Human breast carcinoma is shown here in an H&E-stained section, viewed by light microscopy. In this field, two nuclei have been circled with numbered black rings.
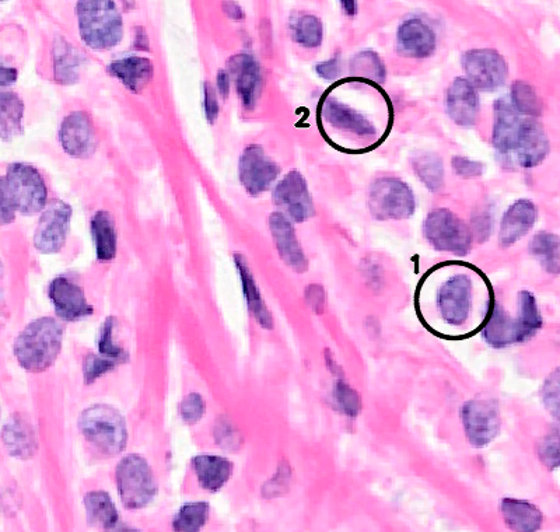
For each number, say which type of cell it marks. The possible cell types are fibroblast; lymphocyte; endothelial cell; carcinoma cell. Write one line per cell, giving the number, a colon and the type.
1: carcinoma cell
2: fibroblast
